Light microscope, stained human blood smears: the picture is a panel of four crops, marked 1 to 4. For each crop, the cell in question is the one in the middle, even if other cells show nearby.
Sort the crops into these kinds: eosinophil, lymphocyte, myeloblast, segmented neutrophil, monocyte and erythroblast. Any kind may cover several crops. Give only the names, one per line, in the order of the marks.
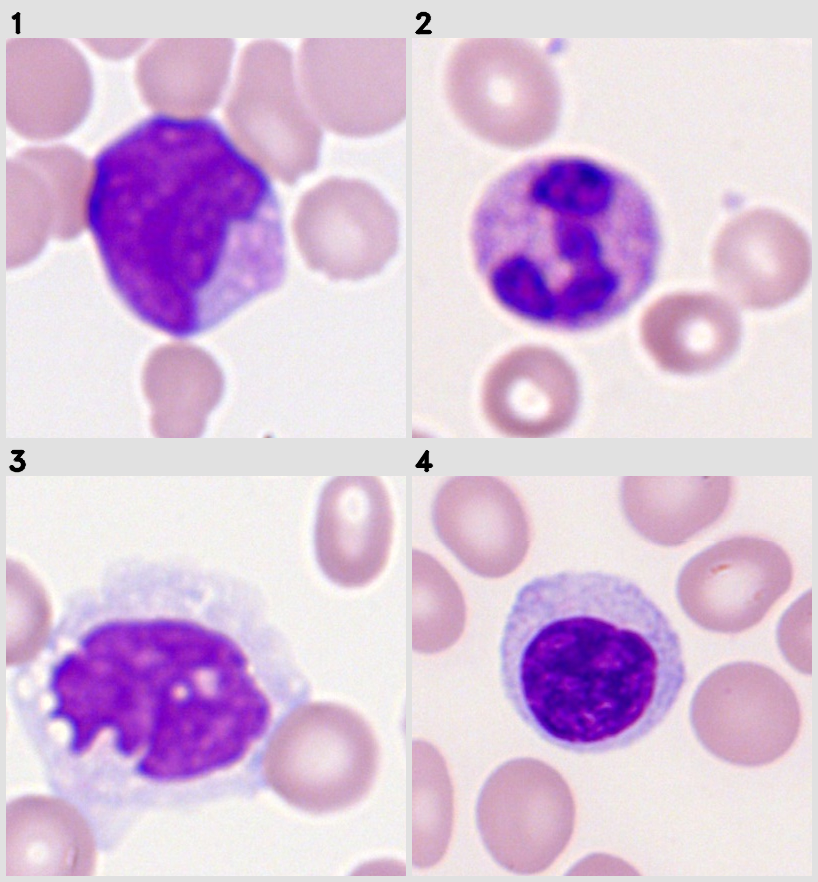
myeloblast
segmented neutrophil
monocyte
lymphocyte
